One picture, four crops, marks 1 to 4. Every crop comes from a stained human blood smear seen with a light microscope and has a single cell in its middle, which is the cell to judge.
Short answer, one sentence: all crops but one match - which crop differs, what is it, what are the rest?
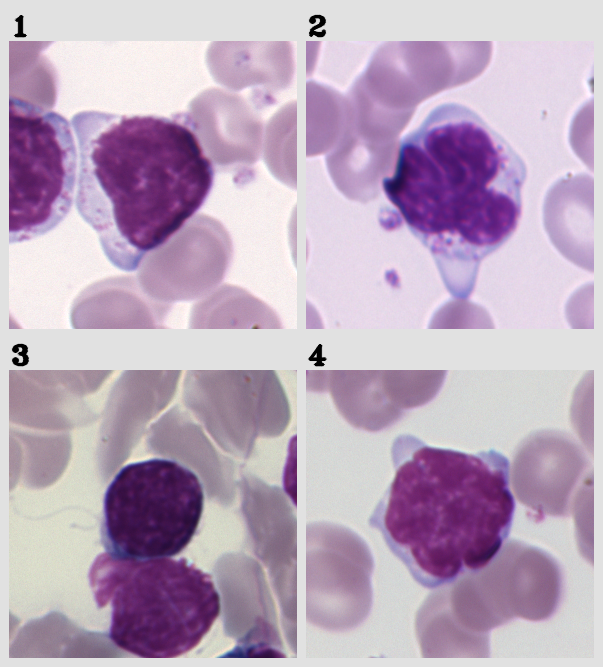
Crop 3 is a myeloblast, while the rest of the set consists of large granular lymphocytes.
